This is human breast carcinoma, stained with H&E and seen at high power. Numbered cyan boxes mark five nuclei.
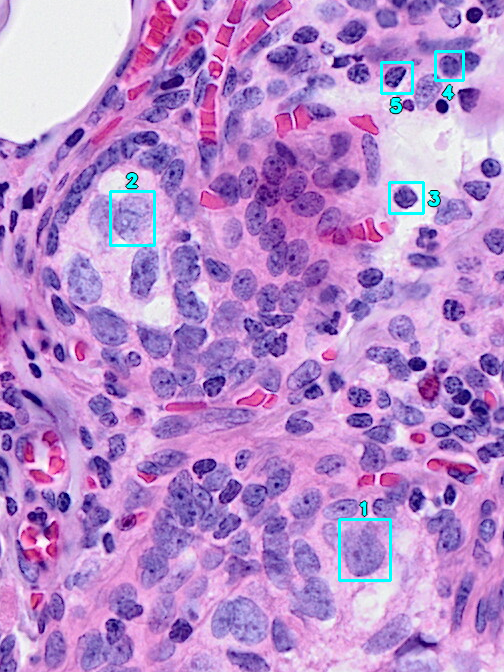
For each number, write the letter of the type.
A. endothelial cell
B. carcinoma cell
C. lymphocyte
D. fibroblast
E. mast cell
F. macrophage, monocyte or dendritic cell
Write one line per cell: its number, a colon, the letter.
1: B
2: B
3: C
4: C
5: C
